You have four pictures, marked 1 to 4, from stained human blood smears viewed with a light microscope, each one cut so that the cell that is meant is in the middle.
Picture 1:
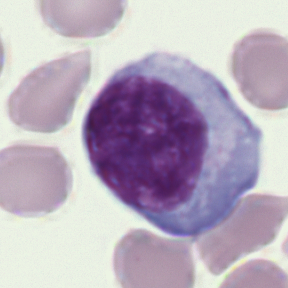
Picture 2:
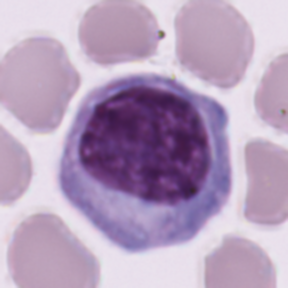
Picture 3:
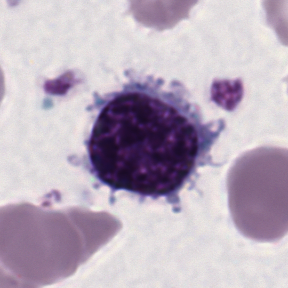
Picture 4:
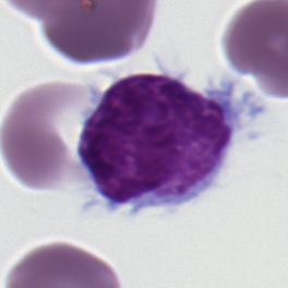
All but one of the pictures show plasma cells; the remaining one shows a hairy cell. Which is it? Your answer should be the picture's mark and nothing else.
4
